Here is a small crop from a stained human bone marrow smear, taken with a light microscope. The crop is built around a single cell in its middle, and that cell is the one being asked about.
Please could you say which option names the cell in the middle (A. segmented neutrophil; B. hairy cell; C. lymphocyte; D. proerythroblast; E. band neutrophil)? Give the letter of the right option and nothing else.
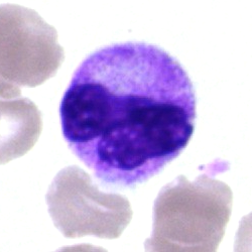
A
